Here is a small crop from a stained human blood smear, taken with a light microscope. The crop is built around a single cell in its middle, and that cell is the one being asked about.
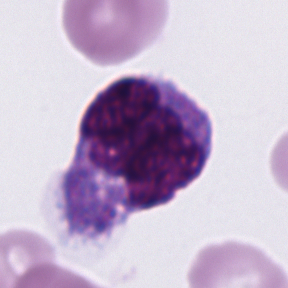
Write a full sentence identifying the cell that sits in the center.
The cell at the central position in this crop is a monocyte.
